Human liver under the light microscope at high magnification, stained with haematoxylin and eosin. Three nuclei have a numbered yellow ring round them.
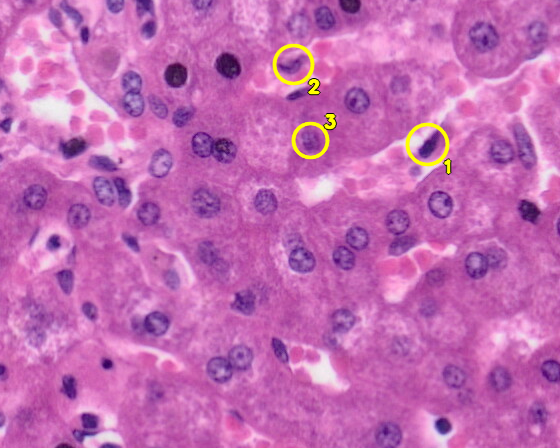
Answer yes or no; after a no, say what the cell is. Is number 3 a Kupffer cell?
No, it is a hepatocyte.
